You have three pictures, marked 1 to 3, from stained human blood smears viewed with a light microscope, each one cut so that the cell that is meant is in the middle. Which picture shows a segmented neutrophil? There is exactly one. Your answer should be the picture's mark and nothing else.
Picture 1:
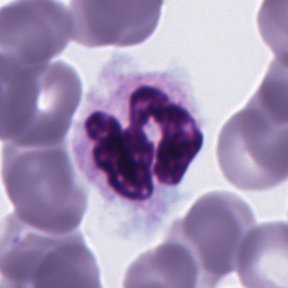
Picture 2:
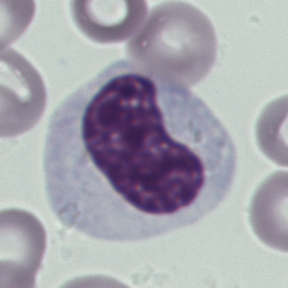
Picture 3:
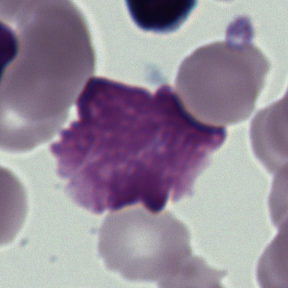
1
